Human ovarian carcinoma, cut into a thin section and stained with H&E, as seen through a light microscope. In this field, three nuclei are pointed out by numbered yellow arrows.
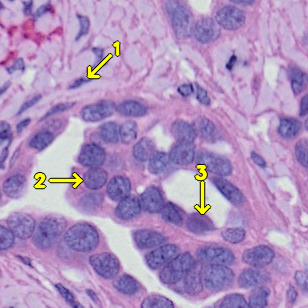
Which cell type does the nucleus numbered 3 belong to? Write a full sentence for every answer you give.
The correct label for cell 3 is a carcinoma cell.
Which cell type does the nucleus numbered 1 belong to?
Nucleus 1 in this section belongs to a fibroblast.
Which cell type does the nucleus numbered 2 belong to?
The identity of cell 2 is that of a carcinoma cell.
